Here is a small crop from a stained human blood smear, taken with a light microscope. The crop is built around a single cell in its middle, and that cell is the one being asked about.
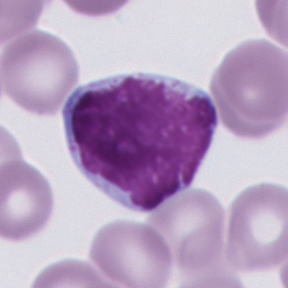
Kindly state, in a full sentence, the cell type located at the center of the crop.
The cell sitting right in the middle is a large granular lymphocyte.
